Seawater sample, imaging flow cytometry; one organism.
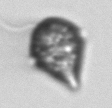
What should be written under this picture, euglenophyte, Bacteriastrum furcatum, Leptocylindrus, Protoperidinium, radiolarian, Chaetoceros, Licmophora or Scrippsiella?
Scrippsiella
